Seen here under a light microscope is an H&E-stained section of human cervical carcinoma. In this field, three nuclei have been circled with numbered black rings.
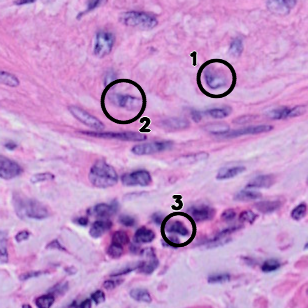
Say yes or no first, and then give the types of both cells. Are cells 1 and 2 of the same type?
Yes, both are smooth muscle cells.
